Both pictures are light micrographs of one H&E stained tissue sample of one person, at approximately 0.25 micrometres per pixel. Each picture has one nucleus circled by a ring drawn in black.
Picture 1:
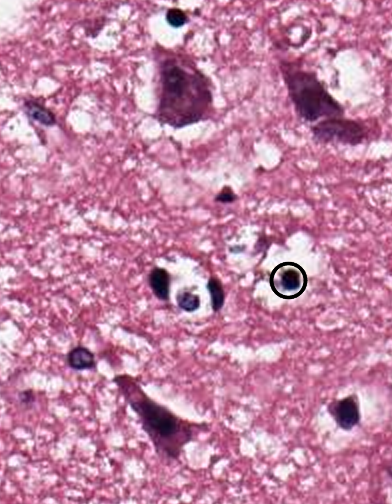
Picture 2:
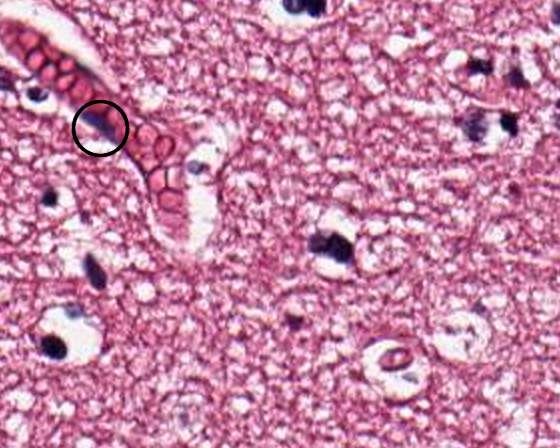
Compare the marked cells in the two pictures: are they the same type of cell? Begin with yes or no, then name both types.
No, the first is an oligodendrocyte and the second an endothelial cell.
